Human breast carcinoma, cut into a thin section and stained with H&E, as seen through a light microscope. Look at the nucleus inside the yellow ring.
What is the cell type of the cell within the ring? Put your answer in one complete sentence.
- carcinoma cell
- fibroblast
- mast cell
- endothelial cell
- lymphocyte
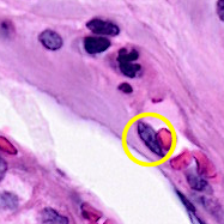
In cell-type terms, the cell within the ring is an endothelial cell.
